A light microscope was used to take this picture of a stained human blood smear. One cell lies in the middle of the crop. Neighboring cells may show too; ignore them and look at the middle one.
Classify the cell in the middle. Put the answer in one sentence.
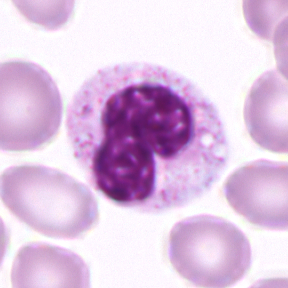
The cell found in the middle of this crop is a band neutrophil.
